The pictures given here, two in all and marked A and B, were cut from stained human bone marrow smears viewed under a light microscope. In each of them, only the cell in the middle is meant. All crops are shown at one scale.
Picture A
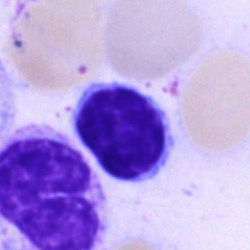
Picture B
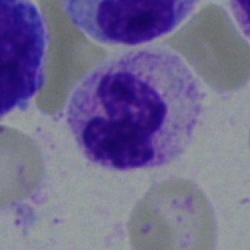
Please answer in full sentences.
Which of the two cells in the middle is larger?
Picture B holds the larger cell; it covers about 1.5 times the area of the cell in picture A.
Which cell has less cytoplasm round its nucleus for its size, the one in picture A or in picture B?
The nucleus fills more of the cell in picture A than in picture B.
